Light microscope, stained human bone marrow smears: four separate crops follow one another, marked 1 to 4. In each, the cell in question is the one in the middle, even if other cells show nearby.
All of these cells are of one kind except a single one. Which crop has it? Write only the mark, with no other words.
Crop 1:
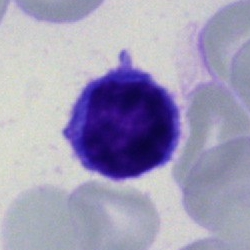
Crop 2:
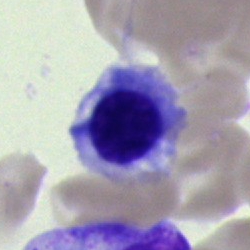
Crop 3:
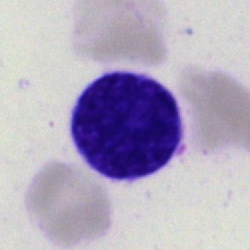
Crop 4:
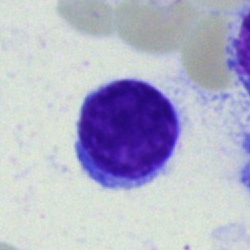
2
